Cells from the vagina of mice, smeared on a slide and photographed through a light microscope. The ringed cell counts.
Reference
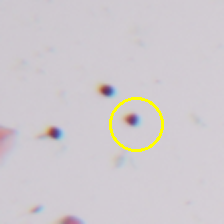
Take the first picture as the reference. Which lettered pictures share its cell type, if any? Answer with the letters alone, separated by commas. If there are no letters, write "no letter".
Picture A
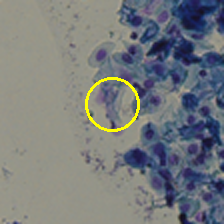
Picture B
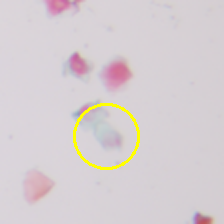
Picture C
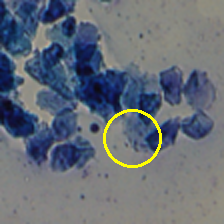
no letter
